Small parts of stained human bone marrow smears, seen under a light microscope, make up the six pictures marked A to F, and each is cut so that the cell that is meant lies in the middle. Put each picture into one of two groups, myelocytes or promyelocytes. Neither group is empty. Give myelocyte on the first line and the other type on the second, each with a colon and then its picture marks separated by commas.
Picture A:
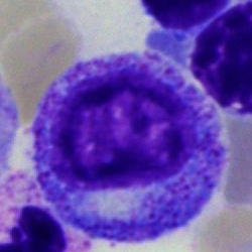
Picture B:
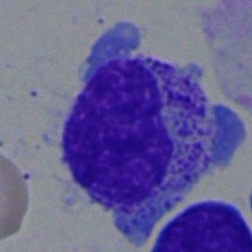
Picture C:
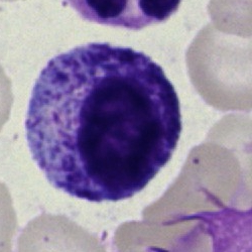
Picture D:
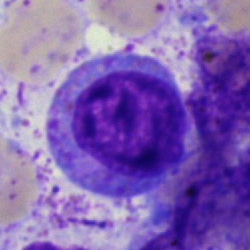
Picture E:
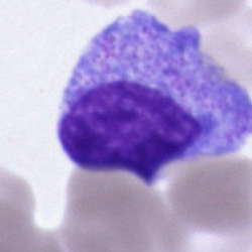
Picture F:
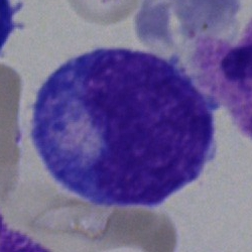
myelocyte: B, C
promyelocyte: A, D, E, F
